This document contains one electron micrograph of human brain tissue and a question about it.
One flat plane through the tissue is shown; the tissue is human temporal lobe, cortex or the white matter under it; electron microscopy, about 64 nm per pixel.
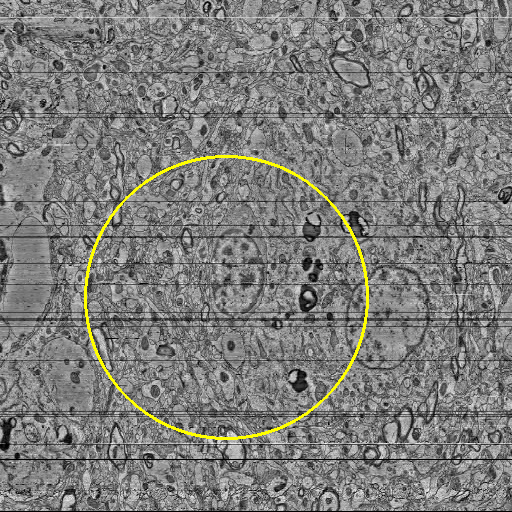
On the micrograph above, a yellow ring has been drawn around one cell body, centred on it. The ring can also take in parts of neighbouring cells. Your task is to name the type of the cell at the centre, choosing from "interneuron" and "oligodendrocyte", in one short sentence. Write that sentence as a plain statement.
Here the ring is centred on an oligodendrocyte.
